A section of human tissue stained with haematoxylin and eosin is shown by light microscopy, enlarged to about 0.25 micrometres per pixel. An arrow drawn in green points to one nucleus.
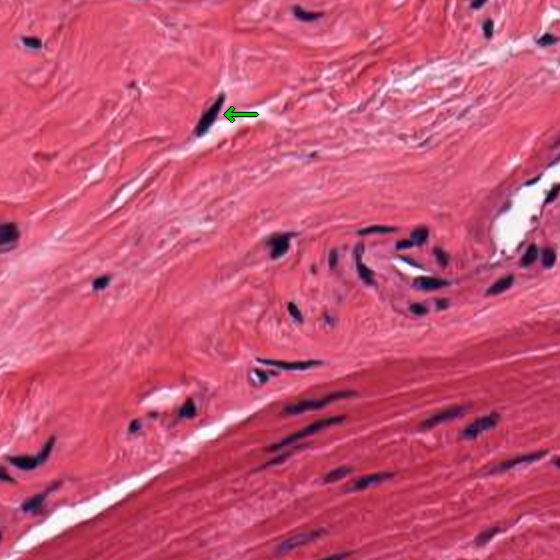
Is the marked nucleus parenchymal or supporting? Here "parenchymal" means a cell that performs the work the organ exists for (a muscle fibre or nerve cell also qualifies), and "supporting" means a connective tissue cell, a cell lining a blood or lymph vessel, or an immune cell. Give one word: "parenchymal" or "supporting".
supporting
